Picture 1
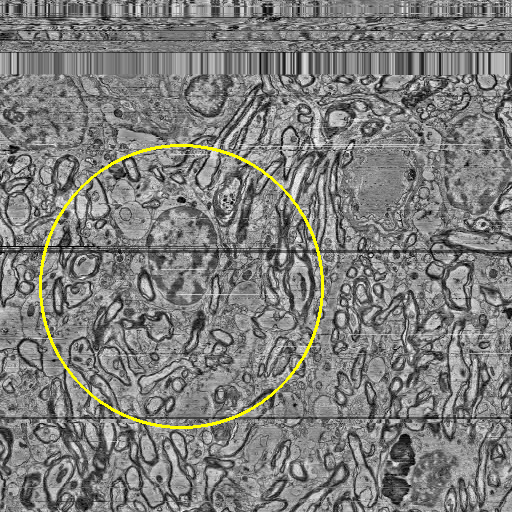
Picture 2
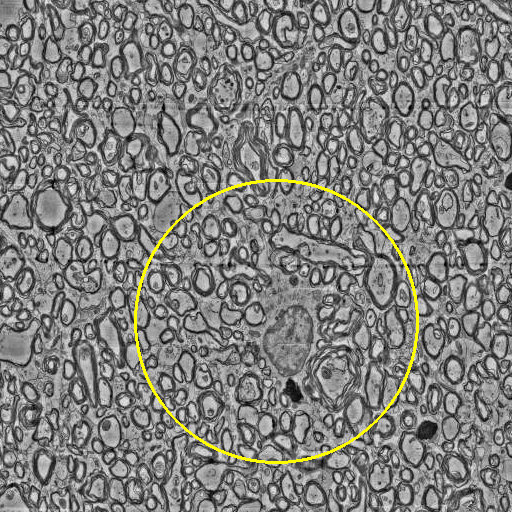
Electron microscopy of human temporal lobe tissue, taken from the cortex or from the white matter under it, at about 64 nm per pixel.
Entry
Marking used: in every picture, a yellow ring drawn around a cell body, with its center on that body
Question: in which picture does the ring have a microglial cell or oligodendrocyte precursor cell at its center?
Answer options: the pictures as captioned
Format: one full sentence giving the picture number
Picture 1 is where the ring's center falls on the requested cell.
